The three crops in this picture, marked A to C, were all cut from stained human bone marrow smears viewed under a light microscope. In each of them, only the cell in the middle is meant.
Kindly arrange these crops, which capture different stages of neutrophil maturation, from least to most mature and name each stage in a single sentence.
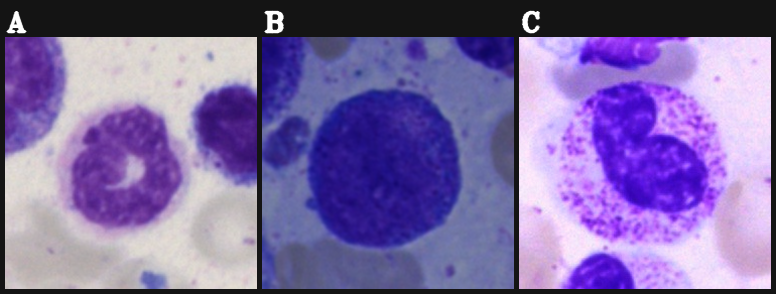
The cells in order of increasing maturity are crop B (a promyelocyte), crop C (a metamyelocyte) and crop A (a segmented neutrophil).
